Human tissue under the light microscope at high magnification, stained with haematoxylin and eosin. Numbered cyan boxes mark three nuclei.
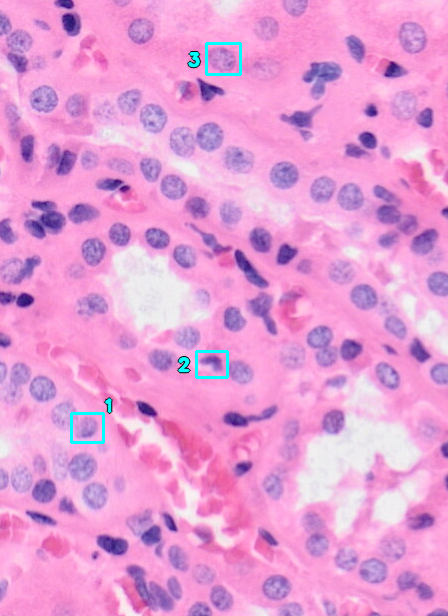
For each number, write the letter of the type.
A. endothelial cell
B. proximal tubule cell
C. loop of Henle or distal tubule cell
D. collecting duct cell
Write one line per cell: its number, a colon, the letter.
1: D
2: C
3: B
